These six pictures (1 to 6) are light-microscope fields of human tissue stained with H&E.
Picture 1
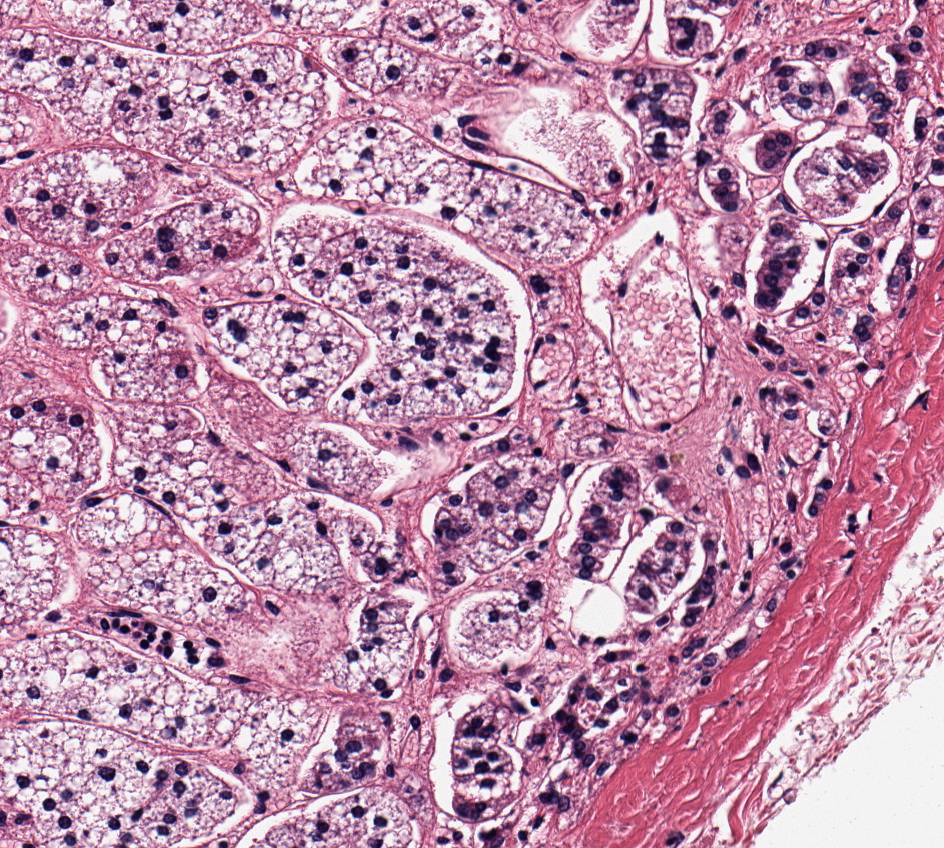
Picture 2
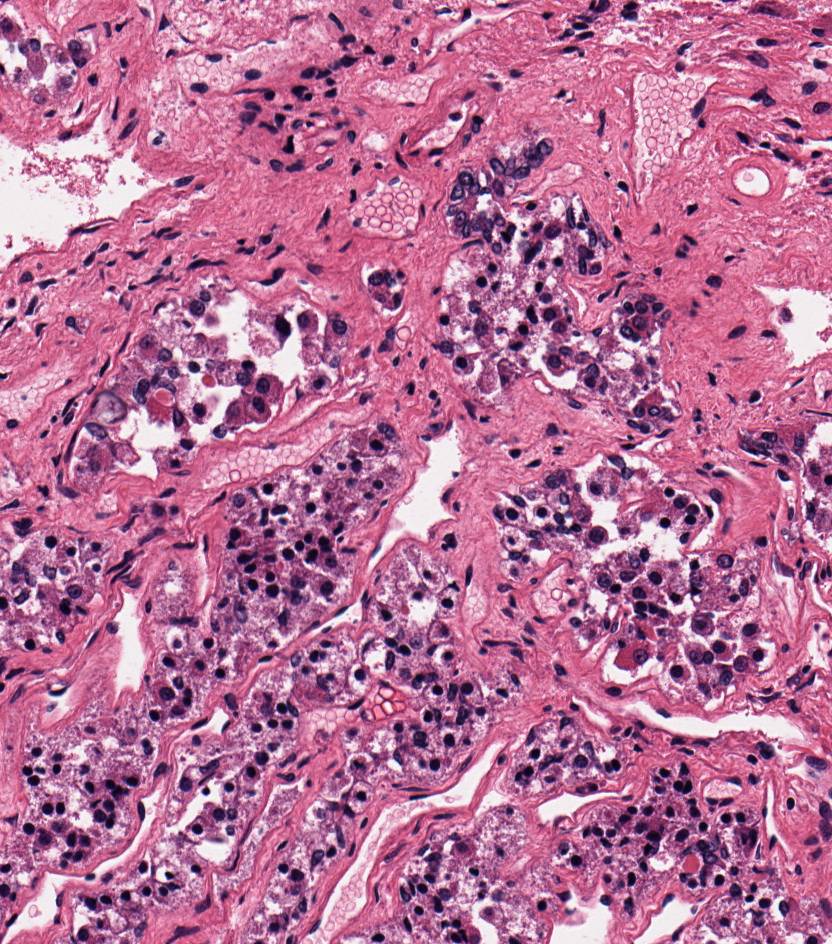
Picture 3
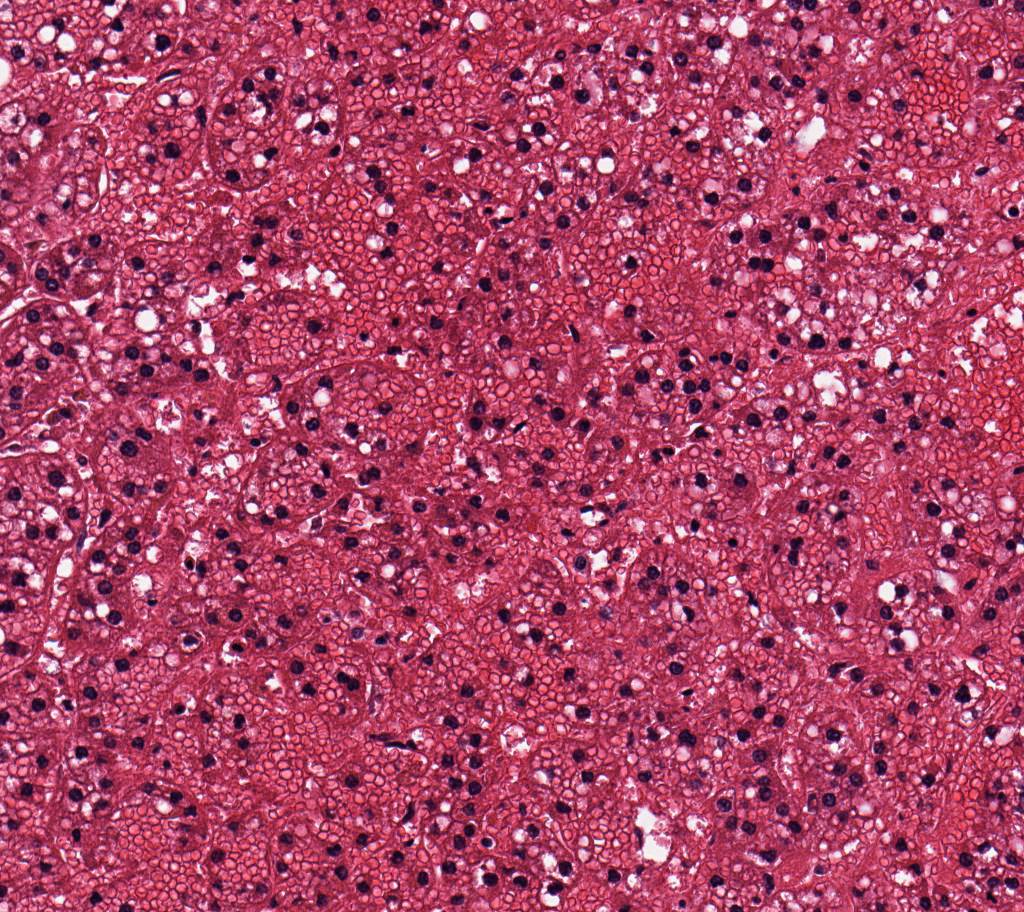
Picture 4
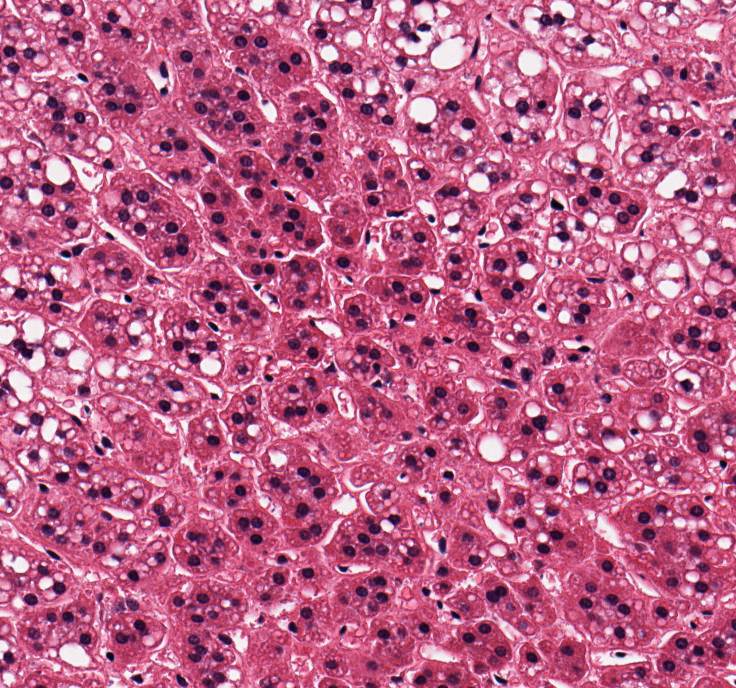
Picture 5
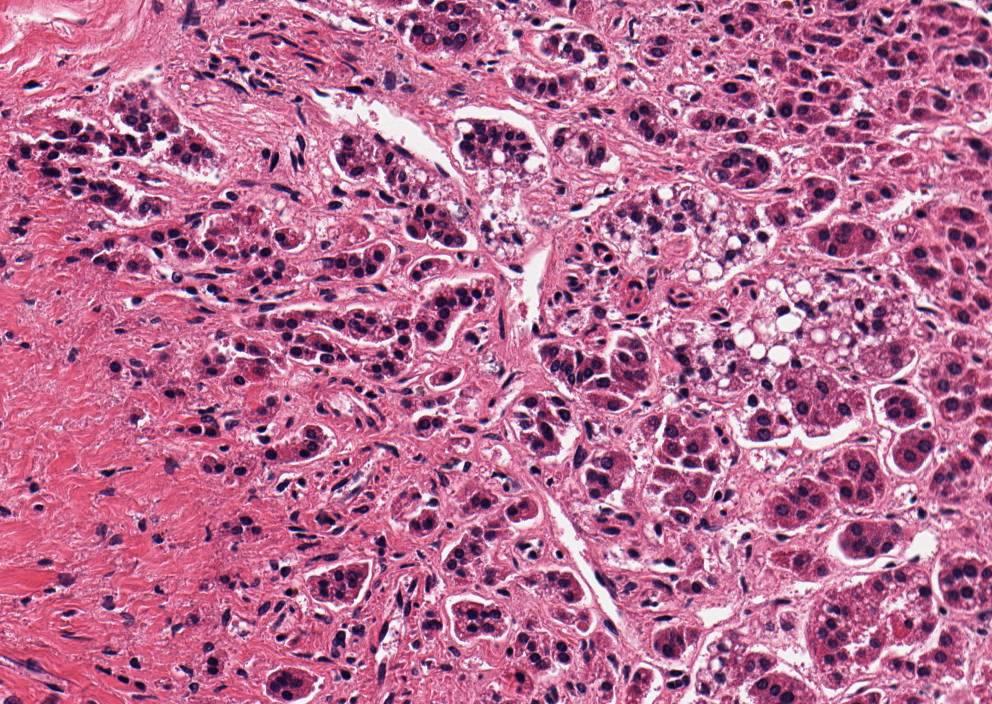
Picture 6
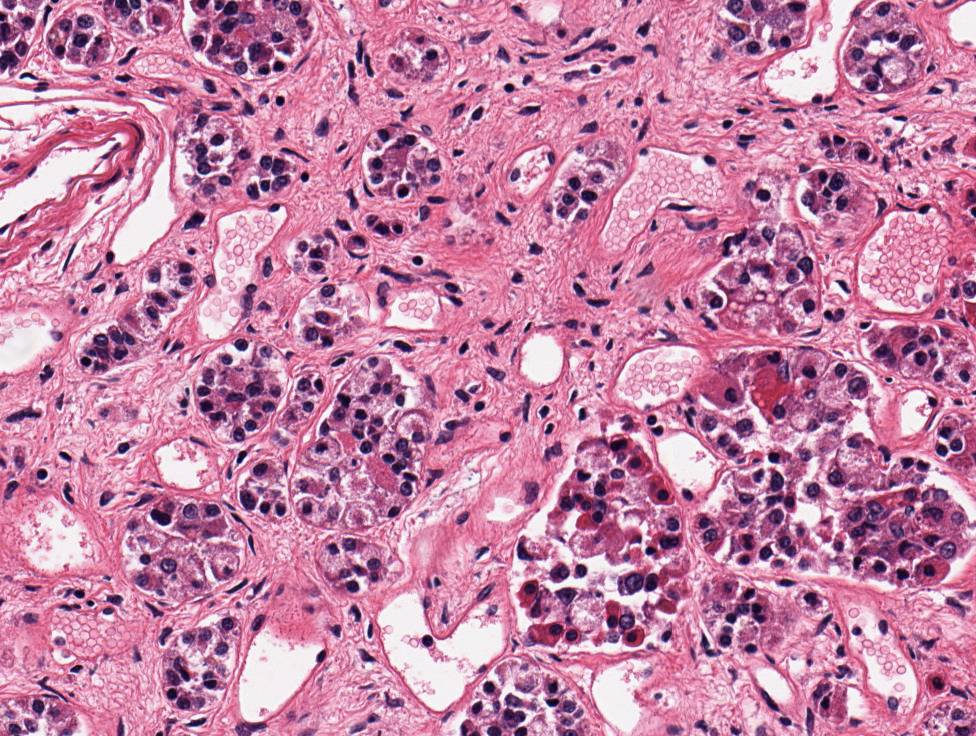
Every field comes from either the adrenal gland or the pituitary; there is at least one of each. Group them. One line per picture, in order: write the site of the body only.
adrenal gland
pituitary
adrenal gland
adrenal gland
adrenal gland
pituitary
